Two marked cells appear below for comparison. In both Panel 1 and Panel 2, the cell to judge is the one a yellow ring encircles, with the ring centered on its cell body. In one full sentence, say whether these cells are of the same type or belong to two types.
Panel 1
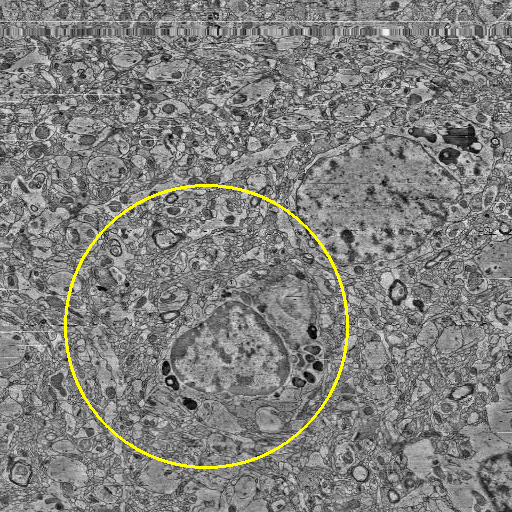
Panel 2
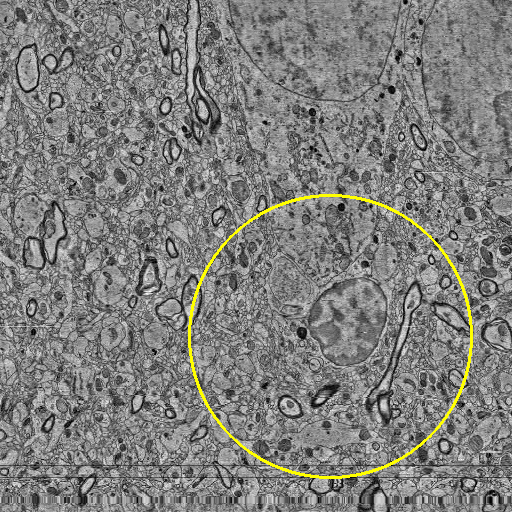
The cell centered in the Panel 1 ring and the one in Panel 2 are of the same type.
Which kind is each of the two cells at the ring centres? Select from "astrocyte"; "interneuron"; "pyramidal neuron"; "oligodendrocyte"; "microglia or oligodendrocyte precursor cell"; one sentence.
Each cell, in the first picture and the second, is a microglial cell or oligodendrocyte precursor cell.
